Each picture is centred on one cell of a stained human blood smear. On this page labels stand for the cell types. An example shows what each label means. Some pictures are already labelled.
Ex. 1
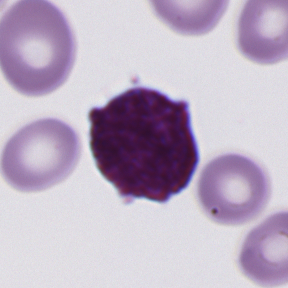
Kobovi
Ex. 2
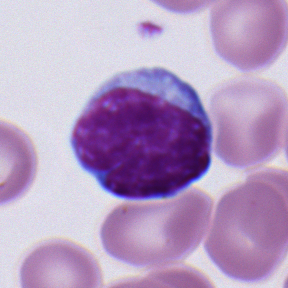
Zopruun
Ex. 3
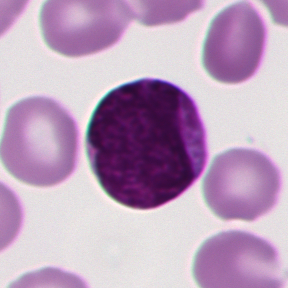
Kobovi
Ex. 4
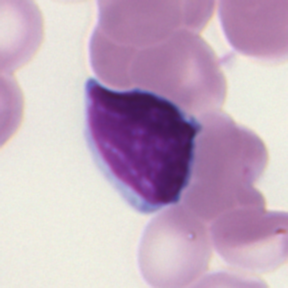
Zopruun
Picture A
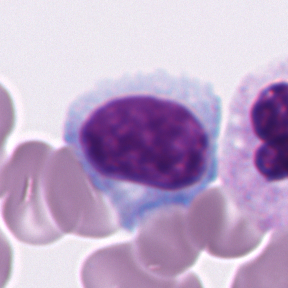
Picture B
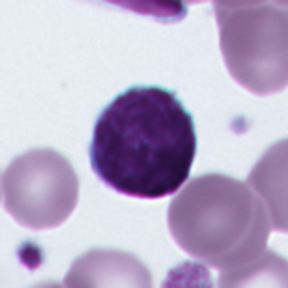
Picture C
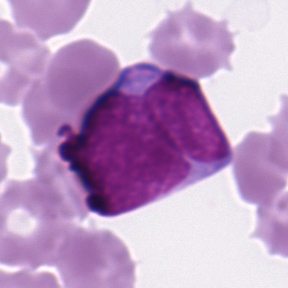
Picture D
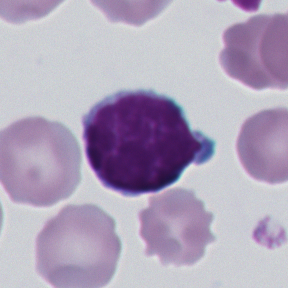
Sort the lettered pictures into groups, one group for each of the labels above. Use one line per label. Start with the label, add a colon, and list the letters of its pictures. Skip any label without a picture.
Kobovi: C
Zopruun: A, B, D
